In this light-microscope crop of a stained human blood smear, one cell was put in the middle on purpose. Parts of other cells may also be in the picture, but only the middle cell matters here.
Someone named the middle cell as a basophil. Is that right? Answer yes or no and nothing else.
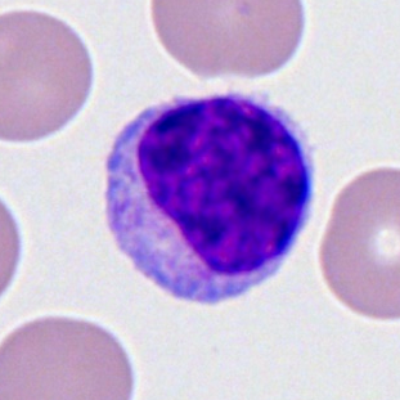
no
